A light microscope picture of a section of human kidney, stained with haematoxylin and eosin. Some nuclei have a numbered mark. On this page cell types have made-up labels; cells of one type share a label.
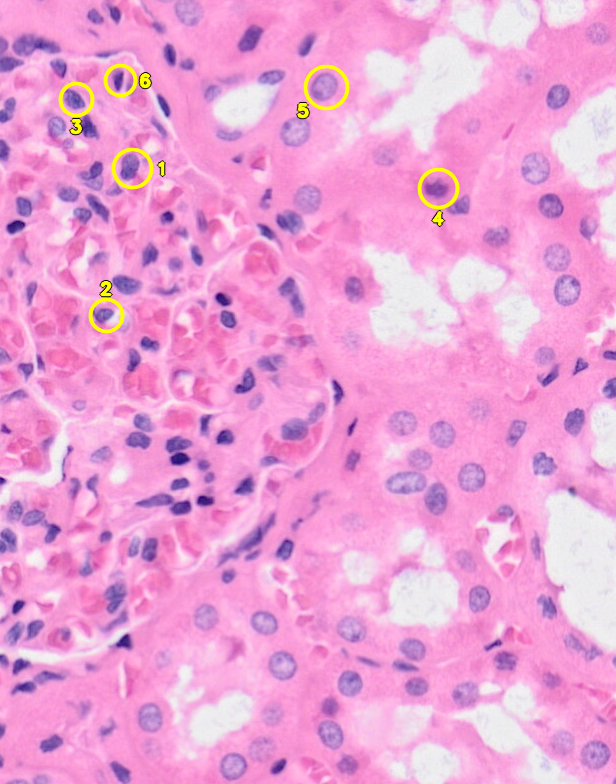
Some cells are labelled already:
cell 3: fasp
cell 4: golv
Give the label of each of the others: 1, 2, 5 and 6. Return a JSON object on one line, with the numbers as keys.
{"1": "fasp", "2": "fasp", "5": "golv", "6": "fasp"}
